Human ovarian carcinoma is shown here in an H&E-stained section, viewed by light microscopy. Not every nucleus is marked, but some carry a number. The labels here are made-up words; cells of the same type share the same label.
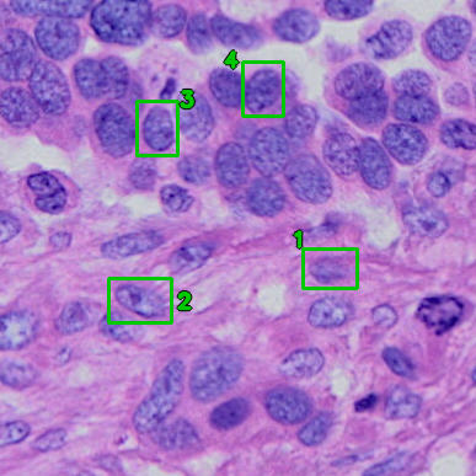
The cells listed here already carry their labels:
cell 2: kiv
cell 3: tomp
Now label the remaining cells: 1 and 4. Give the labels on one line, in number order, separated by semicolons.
kiv; tomp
